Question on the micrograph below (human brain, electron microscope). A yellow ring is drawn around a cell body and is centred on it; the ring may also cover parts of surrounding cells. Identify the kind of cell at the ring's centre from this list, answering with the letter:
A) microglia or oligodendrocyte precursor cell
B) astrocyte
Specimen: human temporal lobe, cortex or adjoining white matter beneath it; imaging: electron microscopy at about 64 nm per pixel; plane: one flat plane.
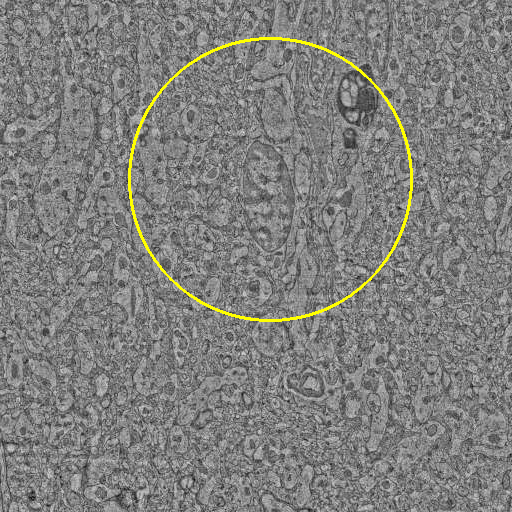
A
